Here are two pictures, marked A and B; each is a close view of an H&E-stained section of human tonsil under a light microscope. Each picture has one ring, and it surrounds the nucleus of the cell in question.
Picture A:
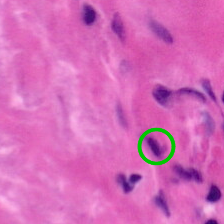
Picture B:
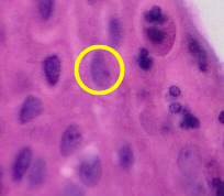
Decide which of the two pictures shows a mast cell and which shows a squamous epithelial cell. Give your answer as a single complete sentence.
Picture A is of a mast cell, and picture B is of a squamous epithelial cell.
